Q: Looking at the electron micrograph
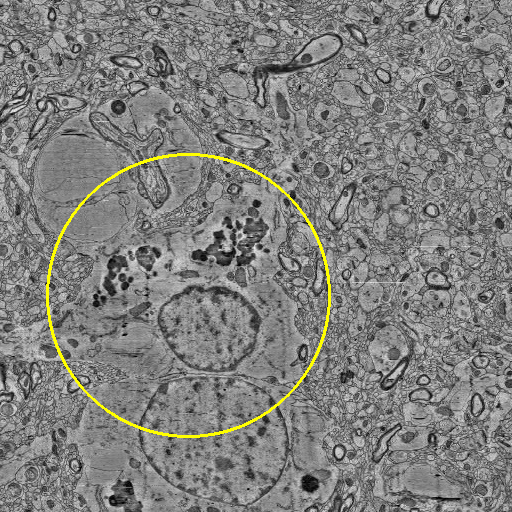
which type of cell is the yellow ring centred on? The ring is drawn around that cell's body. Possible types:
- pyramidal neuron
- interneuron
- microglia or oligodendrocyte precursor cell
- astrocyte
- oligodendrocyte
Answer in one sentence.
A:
The yellow ring is centred on an astrocyte.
